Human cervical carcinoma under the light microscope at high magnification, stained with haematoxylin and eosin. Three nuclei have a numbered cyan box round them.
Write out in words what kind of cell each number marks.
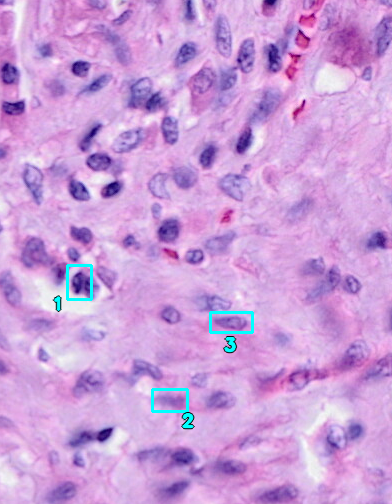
Cell 1 is a lymphocyte, cell 2 is a smooth muscle cell and cell 3 is a smooth muscle cell.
